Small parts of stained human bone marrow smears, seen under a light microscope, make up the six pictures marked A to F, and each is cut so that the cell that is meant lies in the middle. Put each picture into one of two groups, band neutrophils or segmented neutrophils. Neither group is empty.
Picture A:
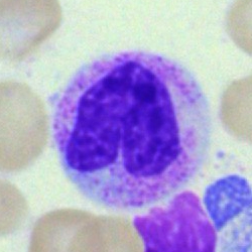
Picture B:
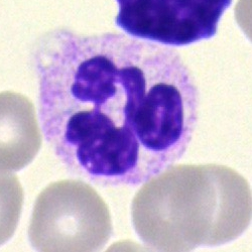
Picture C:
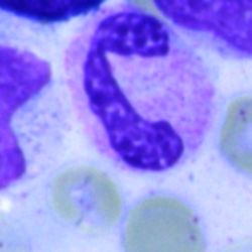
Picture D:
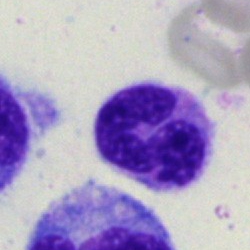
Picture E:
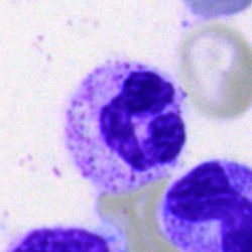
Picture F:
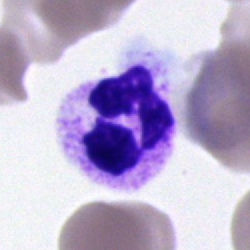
A: band neutrophil
B: segmented neutrophil
C: segmented neutrophil
D: band neutrophil
E: segmented neutrophil
F: segmented neutrophil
